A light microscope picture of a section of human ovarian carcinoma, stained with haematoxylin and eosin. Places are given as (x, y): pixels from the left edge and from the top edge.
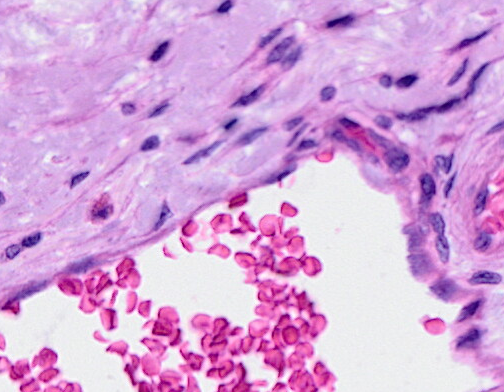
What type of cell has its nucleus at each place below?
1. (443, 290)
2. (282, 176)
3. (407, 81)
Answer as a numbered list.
1. endothelial cell
2. endothelial cell
3. lymphocyte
